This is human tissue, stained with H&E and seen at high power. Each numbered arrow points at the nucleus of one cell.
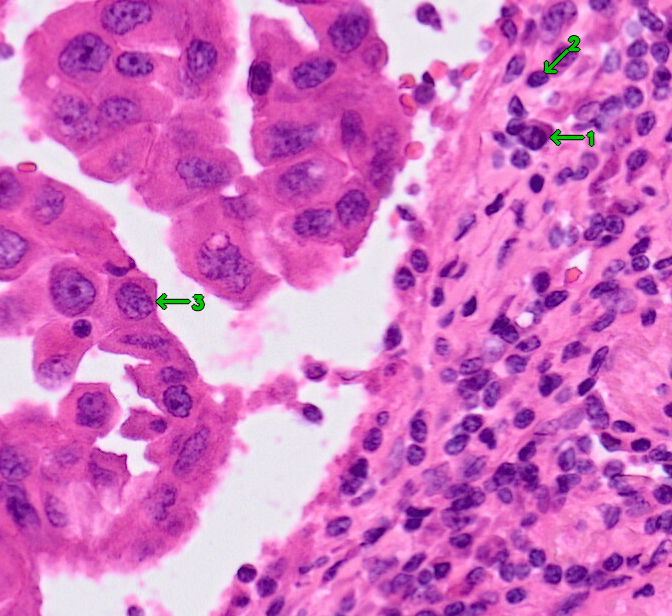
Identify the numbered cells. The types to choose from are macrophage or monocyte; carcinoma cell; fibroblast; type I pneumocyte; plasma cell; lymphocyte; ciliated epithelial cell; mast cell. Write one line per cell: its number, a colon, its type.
1: plasma cell
2: lymphocyte
3: carcinoma cell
